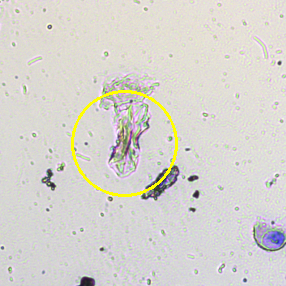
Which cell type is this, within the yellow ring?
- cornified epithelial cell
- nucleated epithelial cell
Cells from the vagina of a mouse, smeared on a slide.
Within the ring is a cornified epithelial cell.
